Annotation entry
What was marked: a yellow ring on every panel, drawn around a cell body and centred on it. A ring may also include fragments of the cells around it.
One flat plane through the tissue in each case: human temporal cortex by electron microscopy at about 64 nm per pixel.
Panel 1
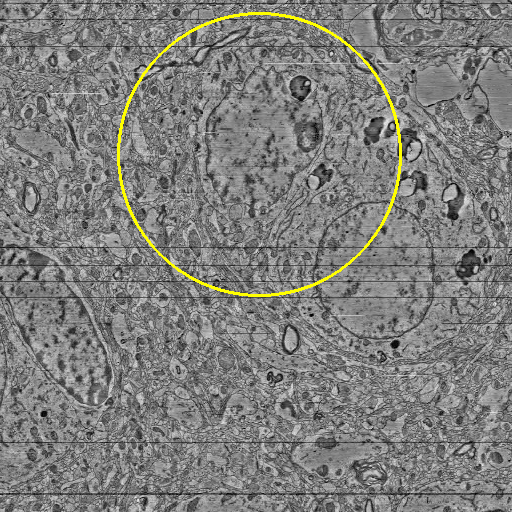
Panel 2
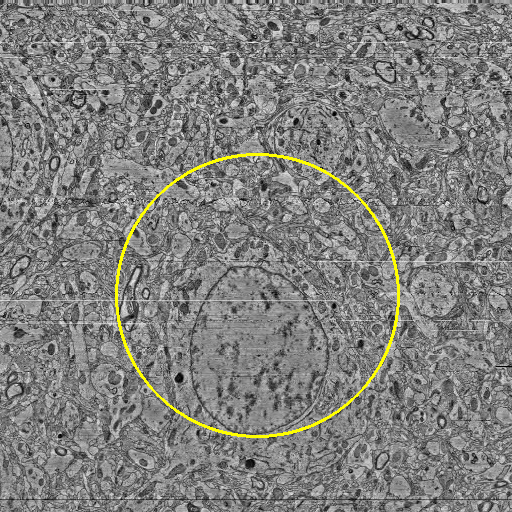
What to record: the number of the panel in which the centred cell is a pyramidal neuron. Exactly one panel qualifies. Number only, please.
2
